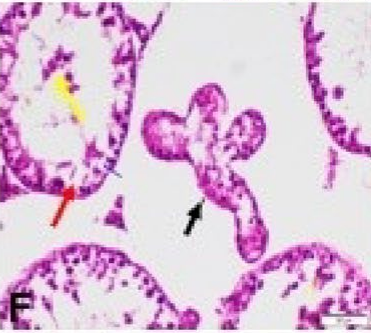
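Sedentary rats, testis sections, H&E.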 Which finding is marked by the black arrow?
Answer: Undulating basement membrane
